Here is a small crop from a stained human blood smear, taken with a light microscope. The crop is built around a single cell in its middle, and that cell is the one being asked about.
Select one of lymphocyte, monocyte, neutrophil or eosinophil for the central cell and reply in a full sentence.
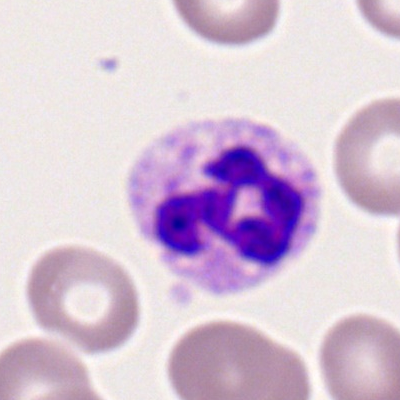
For this crop, the central cell is a neutrophil.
